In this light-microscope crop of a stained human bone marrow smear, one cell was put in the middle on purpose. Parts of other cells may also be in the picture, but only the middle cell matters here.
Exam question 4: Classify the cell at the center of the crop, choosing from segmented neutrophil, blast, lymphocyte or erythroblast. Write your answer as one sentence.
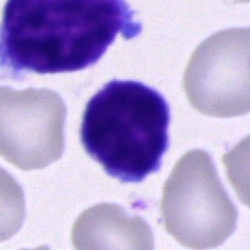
The crop shows a lymphocyte in its centre.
